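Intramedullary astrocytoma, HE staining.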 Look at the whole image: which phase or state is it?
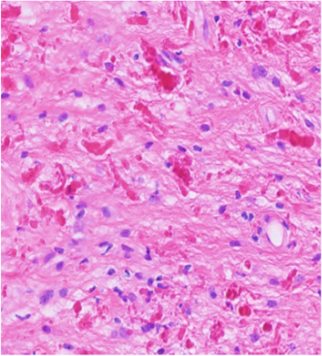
grade I pilocytic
